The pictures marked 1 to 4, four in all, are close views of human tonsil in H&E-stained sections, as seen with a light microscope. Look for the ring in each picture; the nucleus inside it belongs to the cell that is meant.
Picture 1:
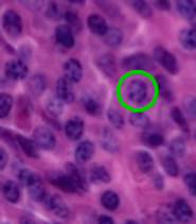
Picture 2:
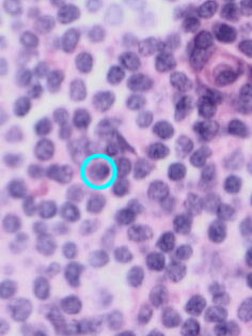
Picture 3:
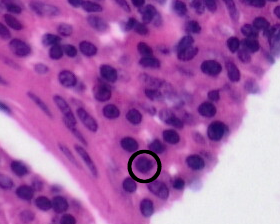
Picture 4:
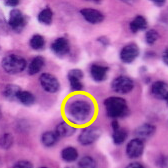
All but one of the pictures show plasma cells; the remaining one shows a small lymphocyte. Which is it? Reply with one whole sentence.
The small lymphocyte is the one in picture 2.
